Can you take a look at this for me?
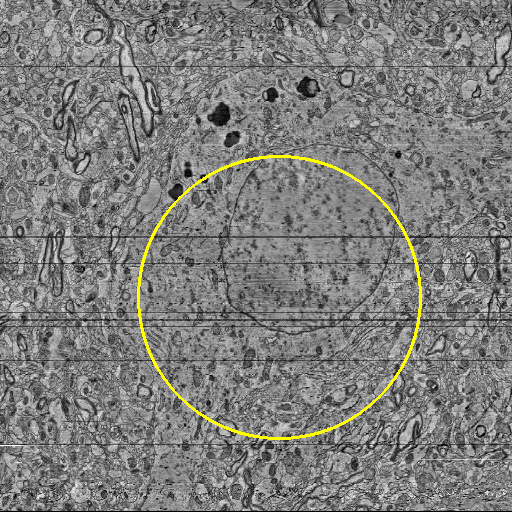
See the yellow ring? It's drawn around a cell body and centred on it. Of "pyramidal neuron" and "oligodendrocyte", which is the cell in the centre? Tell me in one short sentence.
The one in the centre is a pyramidal neuron.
